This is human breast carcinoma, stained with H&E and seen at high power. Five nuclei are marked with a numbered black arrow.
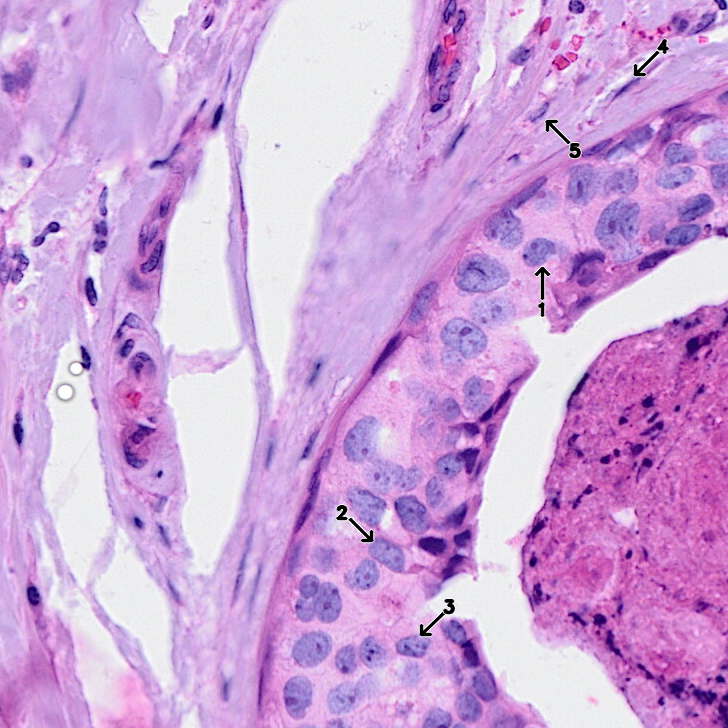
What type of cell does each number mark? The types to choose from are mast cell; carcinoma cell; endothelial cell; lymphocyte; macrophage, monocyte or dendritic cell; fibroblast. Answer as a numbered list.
1. carcinoma cell
2. carcinoma cell
3. carcinoma cell
4. fibroblast
5. fibroblast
